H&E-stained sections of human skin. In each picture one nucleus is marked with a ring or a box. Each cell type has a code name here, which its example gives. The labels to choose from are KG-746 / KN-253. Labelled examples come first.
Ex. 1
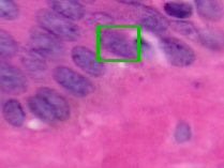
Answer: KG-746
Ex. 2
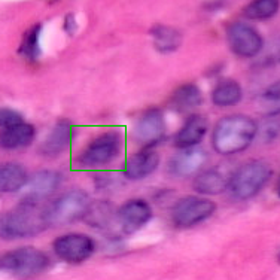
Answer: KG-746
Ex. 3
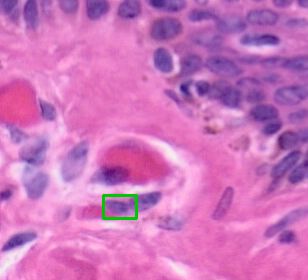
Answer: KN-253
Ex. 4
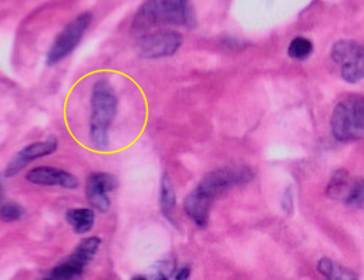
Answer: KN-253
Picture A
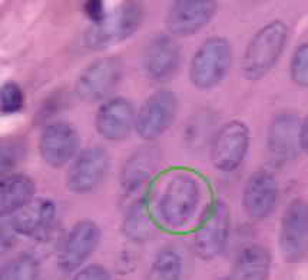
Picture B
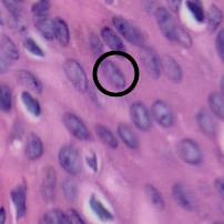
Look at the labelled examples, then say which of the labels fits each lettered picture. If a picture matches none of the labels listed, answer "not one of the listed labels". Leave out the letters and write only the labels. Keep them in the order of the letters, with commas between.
not one of the listed labels, not one of the listed labels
